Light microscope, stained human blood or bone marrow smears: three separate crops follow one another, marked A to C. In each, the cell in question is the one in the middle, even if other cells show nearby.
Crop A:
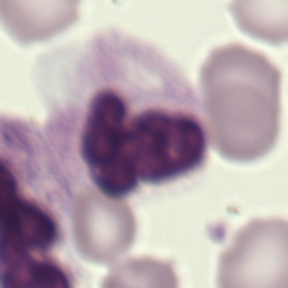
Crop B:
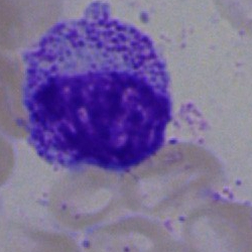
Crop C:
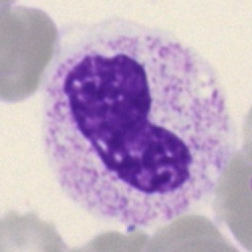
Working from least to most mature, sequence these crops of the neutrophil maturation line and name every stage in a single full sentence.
The maturation order of the crops, earliest to latest, is crop B (a myelocyte), crop C (a band neutrophil) and crop A (a segmented neutrophil).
